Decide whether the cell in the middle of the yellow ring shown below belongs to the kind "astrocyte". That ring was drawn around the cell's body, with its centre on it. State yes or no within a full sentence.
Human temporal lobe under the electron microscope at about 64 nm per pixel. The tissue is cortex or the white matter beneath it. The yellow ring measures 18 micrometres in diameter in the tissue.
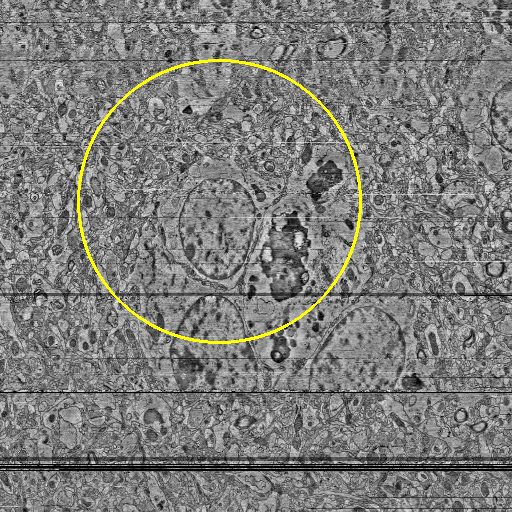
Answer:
Yes, the cell whose body lies at the ring's centre in the picture belongs to that kind.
